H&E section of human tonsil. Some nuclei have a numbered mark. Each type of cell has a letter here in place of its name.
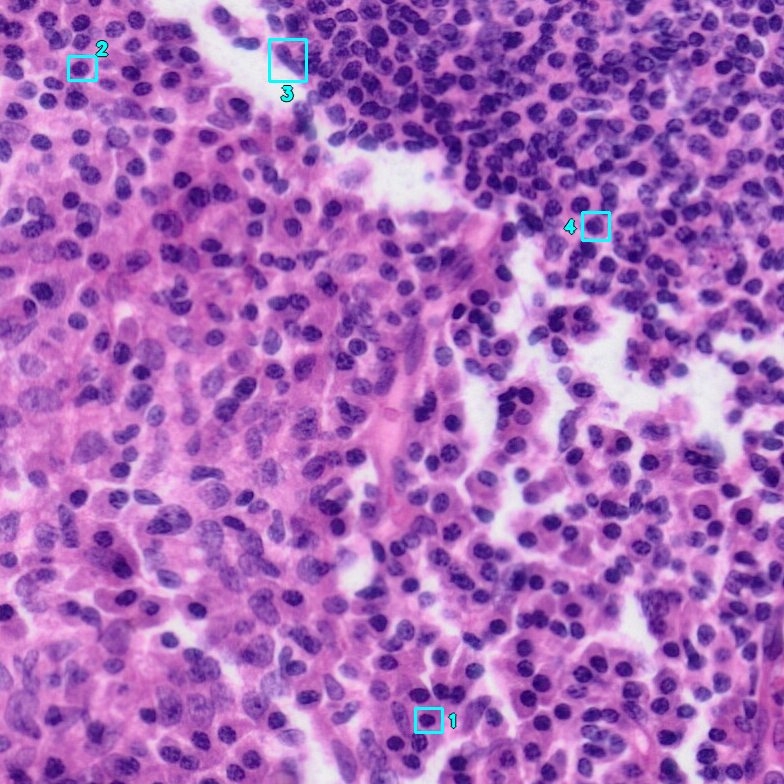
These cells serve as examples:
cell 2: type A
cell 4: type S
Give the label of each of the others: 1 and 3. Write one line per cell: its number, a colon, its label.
1: type A
3: type S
